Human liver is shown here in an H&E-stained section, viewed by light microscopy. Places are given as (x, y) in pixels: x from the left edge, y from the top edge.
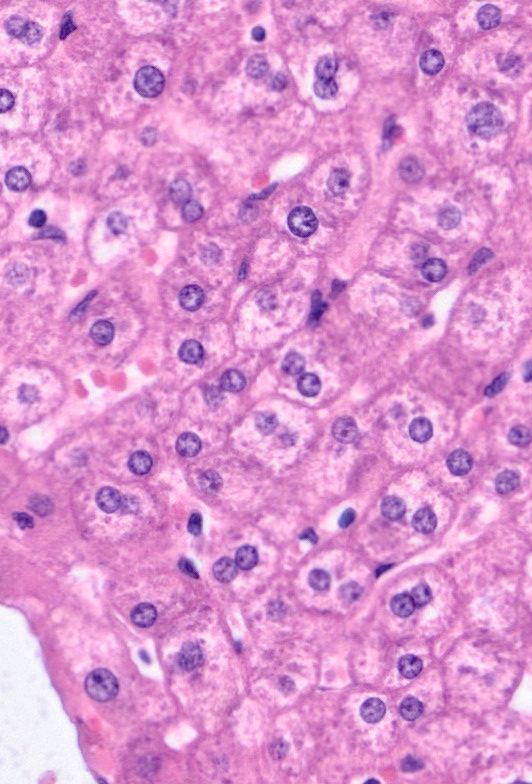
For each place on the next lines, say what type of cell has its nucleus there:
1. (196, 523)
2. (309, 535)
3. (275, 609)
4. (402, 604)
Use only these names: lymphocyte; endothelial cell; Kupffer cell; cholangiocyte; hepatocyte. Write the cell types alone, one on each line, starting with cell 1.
lymphocyte
endothelial cell
hepatocyte
hepatocyte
